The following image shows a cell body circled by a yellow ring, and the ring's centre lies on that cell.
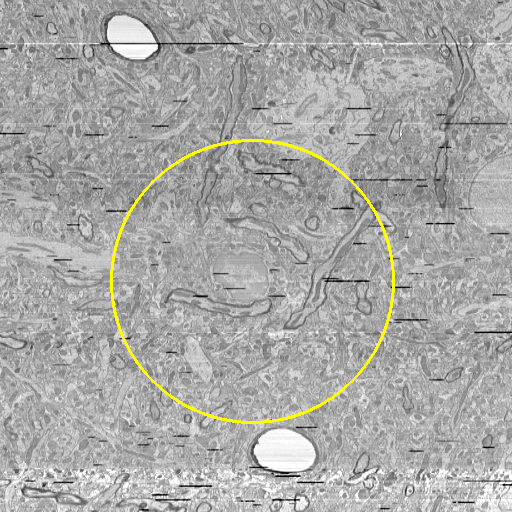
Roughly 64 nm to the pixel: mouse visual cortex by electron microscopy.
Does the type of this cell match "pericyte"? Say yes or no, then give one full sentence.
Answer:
No, the cell at the ring's centre in this picture has a different type.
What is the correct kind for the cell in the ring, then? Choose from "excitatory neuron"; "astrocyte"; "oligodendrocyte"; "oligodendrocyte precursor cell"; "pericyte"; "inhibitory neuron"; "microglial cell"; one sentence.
This picture has a microglial cell at the centre of its ring.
